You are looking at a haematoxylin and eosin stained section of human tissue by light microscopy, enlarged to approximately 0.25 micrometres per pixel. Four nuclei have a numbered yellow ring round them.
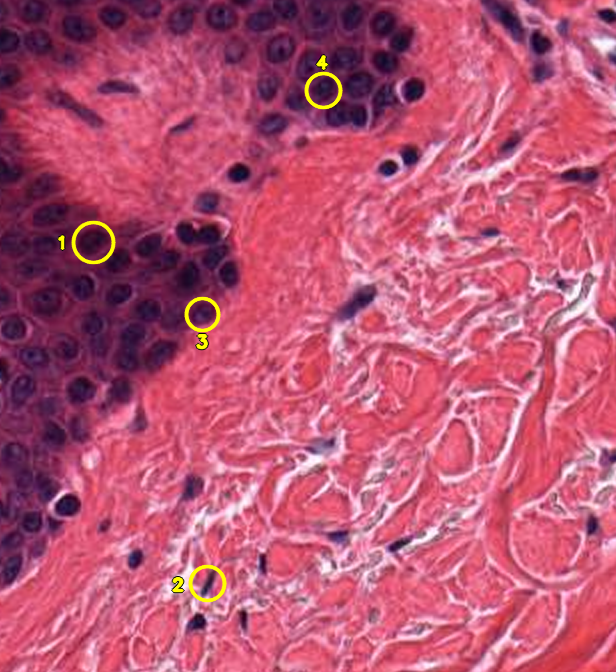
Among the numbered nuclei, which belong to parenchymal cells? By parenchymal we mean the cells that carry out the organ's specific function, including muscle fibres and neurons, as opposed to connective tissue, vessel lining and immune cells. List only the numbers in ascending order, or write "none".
1, 3, 4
